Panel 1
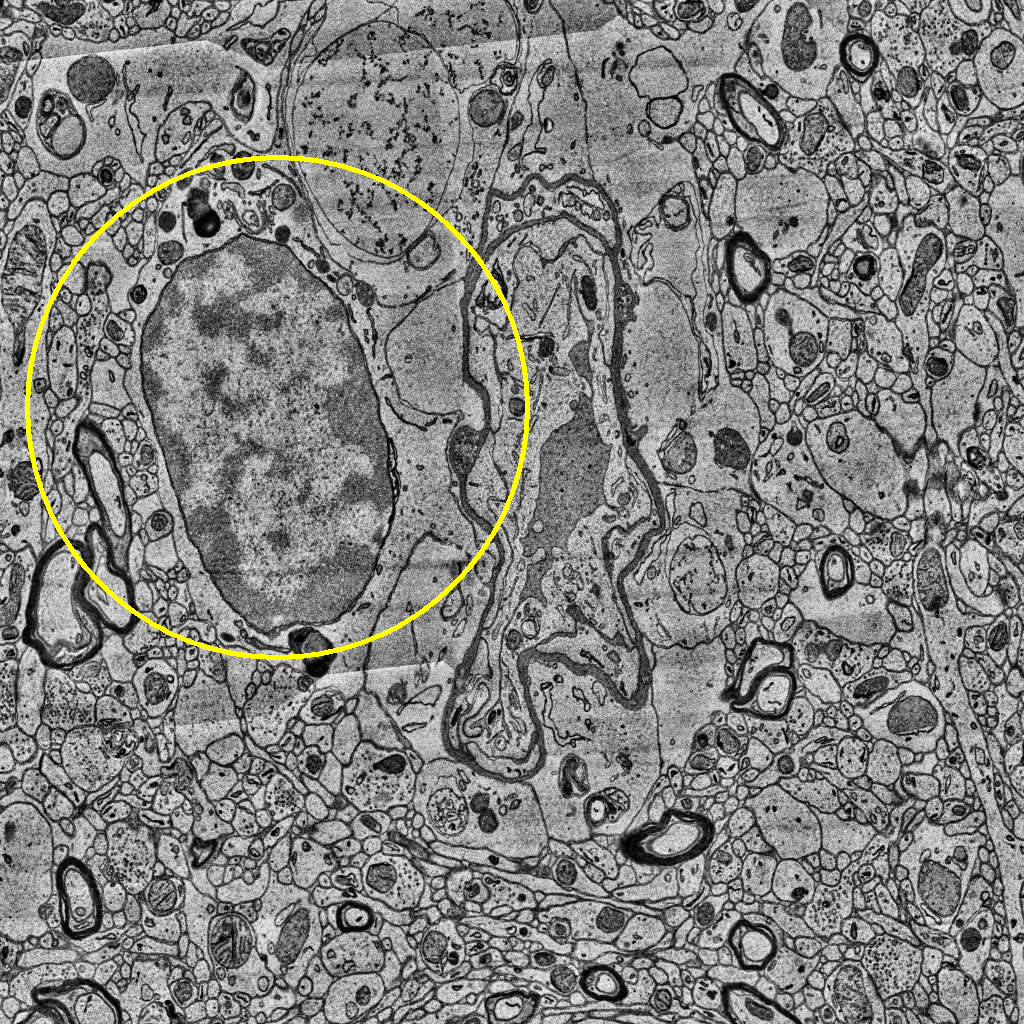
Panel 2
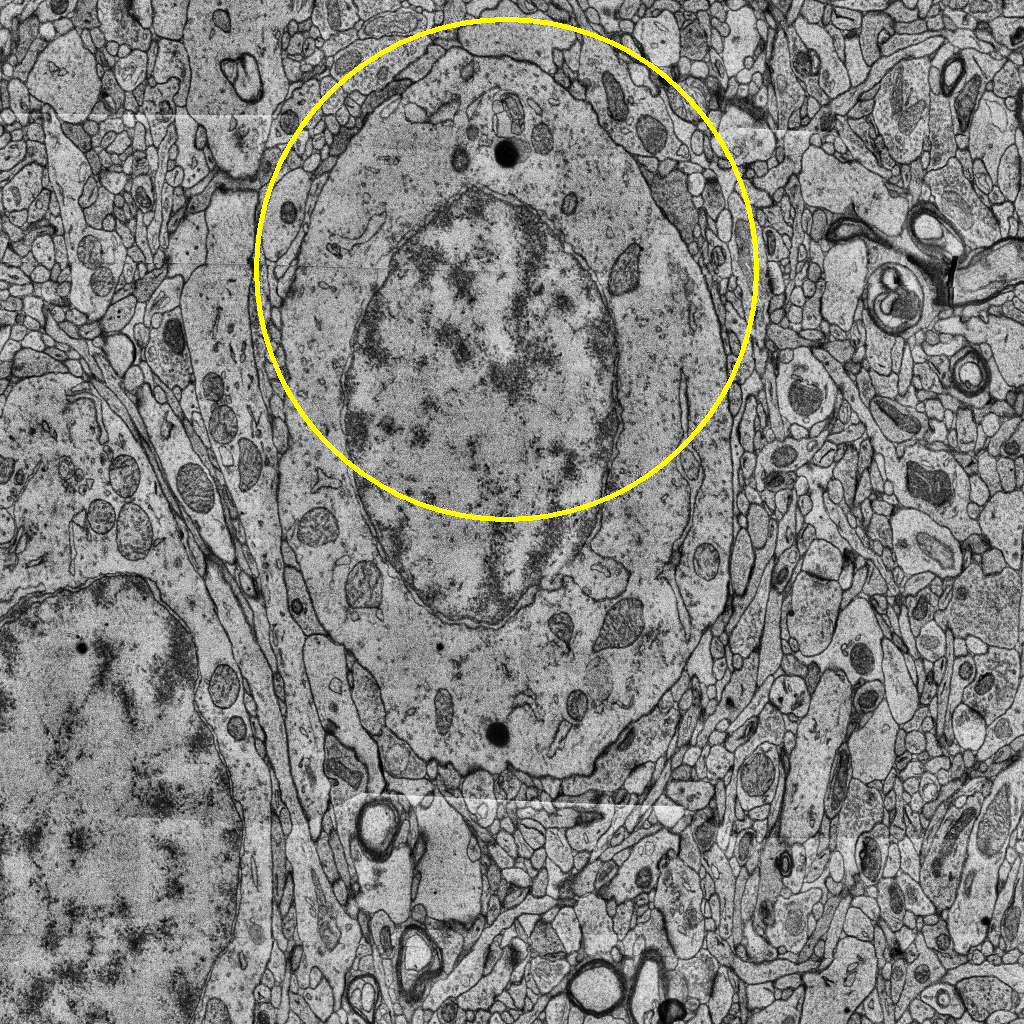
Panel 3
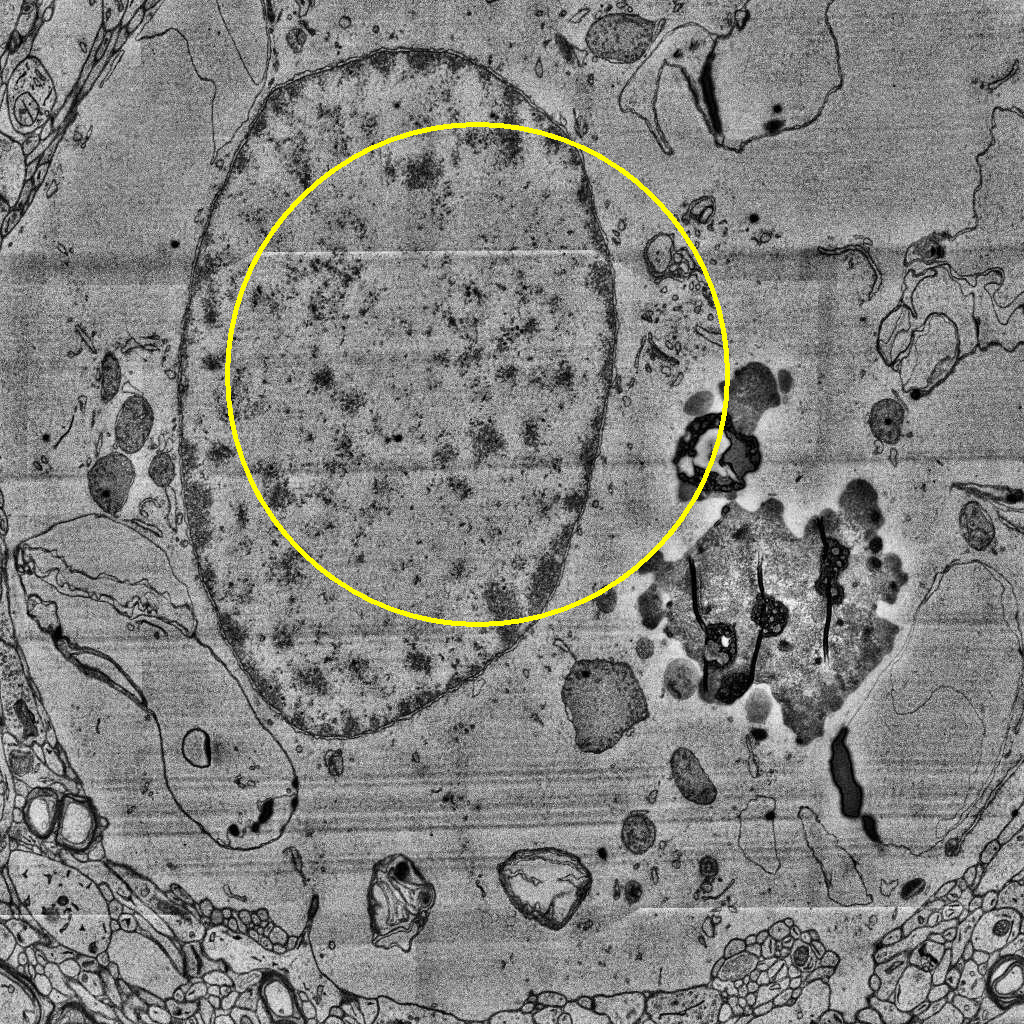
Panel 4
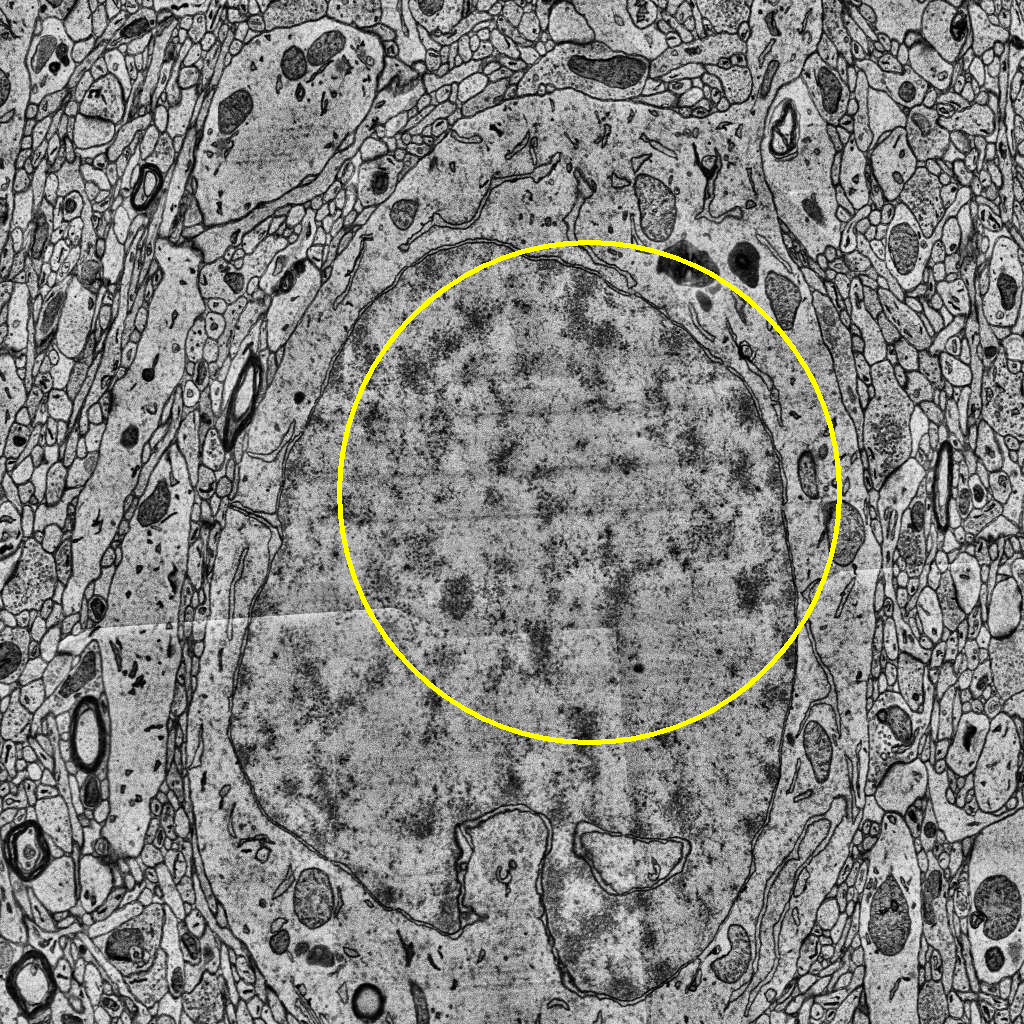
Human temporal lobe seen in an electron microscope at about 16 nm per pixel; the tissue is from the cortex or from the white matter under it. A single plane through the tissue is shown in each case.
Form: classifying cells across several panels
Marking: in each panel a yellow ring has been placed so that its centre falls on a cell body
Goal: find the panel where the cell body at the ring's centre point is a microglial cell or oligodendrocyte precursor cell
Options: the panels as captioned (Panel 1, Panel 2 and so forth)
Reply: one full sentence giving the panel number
Panel 1 shows the wanted cell, with the centre of its ring lying inside it.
